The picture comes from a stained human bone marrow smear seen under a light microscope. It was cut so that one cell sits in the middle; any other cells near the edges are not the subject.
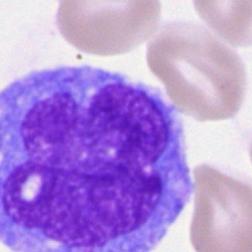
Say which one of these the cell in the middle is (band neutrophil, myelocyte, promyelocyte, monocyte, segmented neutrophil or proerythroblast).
monocyte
